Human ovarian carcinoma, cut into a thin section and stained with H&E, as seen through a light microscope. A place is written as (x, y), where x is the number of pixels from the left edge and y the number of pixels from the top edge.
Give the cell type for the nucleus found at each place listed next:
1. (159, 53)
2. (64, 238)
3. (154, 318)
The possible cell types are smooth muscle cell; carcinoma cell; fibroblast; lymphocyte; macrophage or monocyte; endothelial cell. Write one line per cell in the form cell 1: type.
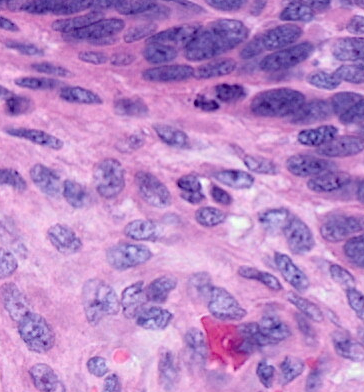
cell 1: carcinoma cell
cell 2: fibroblast
cell 3: fibroblast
